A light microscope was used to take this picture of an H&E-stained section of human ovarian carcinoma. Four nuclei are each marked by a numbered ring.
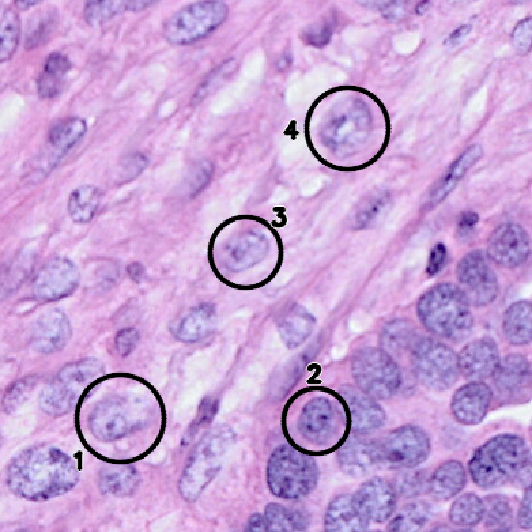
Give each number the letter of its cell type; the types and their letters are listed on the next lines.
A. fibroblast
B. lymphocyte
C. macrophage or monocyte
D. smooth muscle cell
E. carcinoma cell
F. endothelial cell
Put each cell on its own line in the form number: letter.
1: A
2: E
3: A
4: A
